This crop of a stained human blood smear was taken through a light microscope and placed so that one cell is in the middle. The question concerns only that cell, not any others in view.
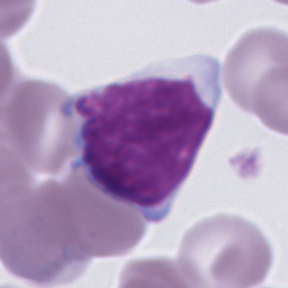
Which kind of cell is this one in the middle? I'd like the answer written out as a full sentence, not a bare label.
The center cell of this crop is a large granular lymphocyte.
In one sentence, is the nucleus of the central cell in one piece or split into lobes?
The nucleus is one compact mass, round, oval or kidney-shaped in outline.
